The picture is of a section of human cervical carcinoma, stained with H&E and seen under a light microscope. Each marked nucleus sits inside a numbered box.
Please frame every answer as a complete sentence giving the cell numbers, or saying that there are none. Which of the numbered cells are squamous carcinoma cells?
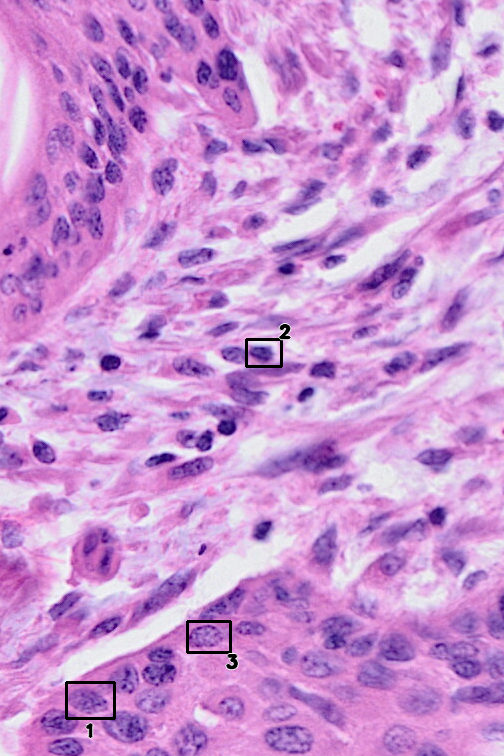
Each of the cells numbered 1 and 3 is among the squamous carcinoma cells.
